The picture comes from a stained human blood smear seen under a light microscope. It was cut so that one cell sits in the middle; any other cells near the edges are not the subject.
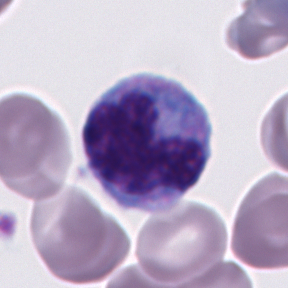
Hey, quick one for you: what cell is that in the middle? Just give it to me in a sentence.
The central cell in this smear crop is a monocyte.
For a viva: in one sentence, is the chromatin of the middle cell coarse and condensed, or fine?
What stands out is chromatin that is coarsely clumped.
